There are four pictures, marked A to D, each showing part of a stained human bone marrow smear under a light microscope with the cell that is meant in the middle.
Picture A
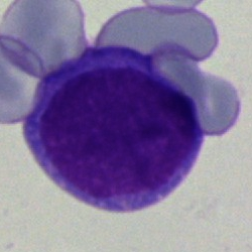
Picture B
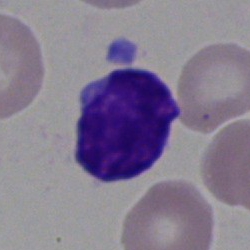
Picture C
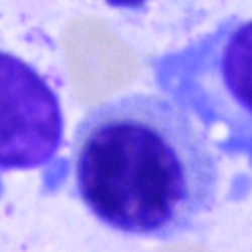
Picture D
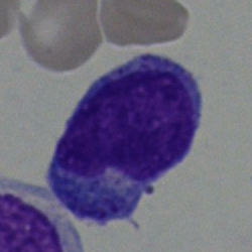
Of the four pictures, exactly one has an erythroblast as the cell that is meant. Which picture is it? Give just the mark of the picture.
C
